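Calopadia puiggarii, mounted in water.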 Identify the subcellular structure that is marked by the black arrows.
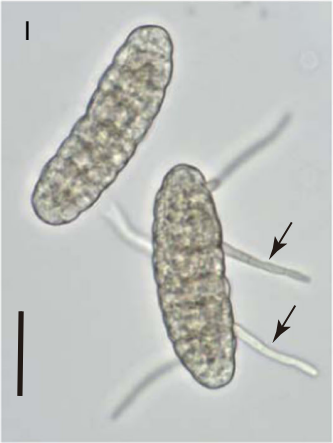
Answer: Germ tubes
